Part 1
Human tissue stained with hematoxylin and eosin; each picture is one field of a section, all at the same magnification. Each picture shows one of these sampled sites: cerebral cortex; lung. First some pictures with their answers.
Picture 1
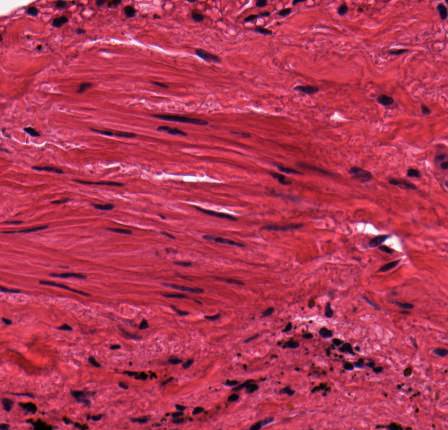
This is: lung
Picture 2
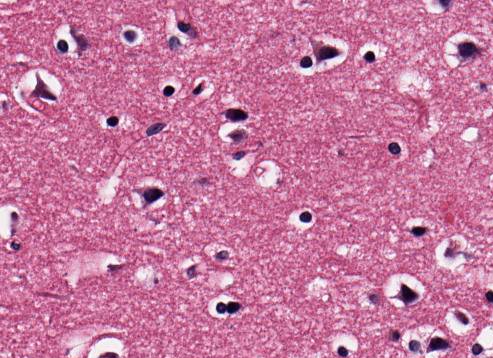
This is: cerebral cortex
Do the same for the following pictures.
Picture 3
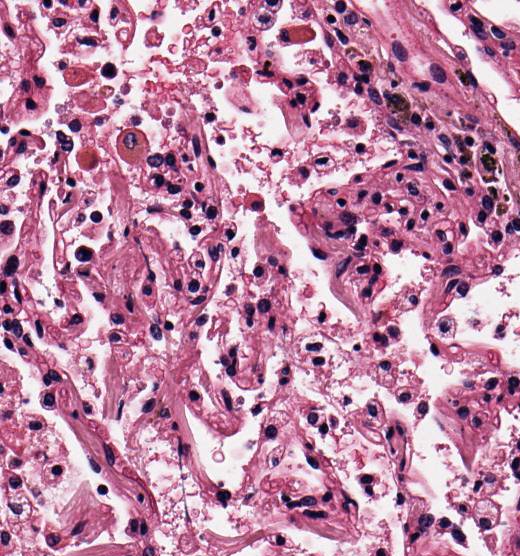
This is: lung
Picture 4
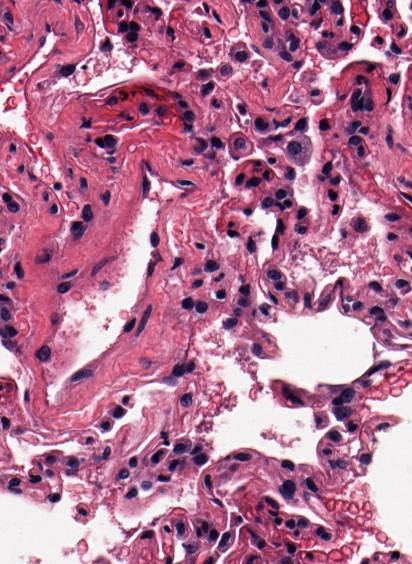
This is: lung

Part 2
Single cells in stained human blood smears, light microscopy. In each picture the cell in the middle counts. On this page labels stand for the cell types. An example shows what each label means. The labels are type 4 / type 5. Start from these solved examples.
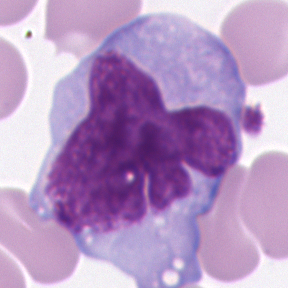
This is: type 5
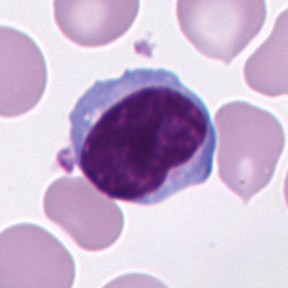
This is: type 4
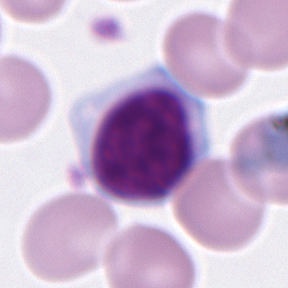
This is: type 4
